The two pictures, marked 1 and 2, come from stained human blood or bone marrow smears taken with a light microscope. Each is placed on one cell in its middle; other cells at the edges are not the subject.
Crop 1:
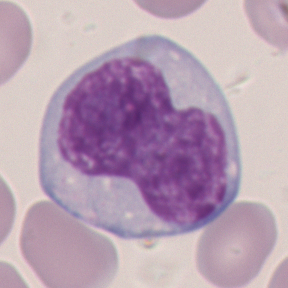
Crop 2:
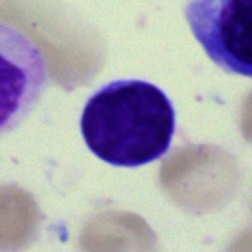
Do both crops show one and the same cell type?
no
